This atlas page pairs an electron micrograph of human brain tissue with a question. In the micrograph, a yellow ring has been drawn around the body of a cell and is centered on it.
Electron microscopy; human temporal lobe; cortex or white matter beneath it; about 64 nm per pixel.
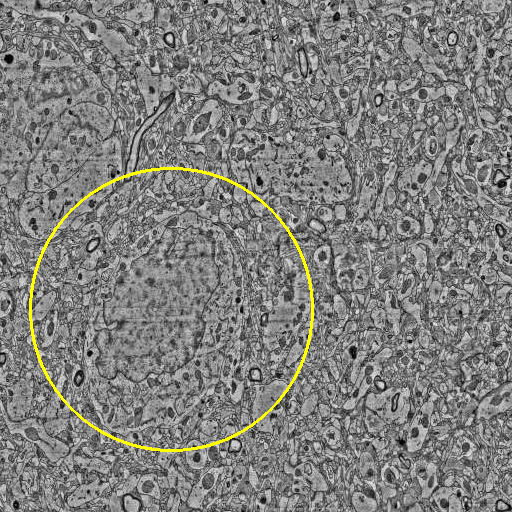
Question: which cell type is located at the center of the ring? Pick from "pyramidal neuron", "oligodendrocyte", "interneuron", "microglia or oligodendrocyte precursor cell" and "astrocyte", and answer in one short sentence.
Located at the center of the ring is an interneuron.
